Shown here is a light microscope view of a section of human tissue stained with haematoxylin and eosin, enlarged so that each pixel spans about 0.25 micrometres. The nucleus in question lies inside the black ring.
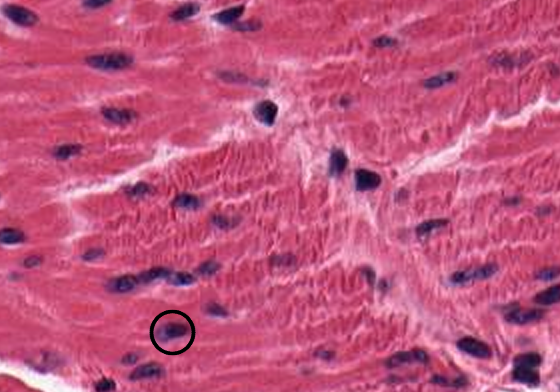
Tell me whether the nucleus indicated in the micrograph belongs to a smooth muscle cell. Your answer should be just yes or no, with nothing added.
yes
